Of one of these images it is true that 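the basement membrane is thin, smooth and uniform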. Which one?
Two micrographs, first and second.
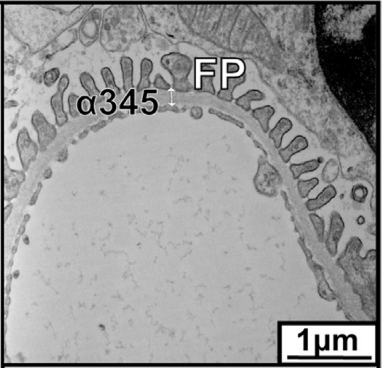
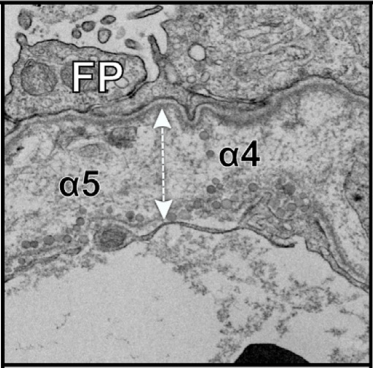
The first image.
